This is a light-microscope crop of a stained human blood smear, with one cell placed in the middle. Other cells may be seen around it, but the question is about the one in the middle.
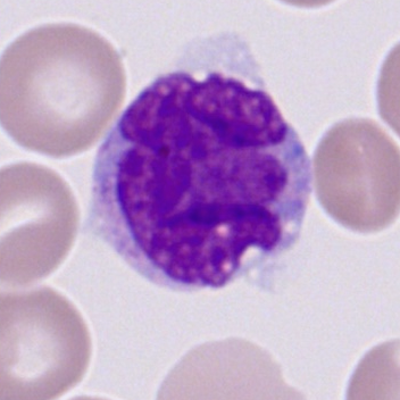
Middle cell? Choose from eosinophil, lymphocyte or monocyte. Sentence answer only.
The cell at the central position in this crop is a monocyte.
